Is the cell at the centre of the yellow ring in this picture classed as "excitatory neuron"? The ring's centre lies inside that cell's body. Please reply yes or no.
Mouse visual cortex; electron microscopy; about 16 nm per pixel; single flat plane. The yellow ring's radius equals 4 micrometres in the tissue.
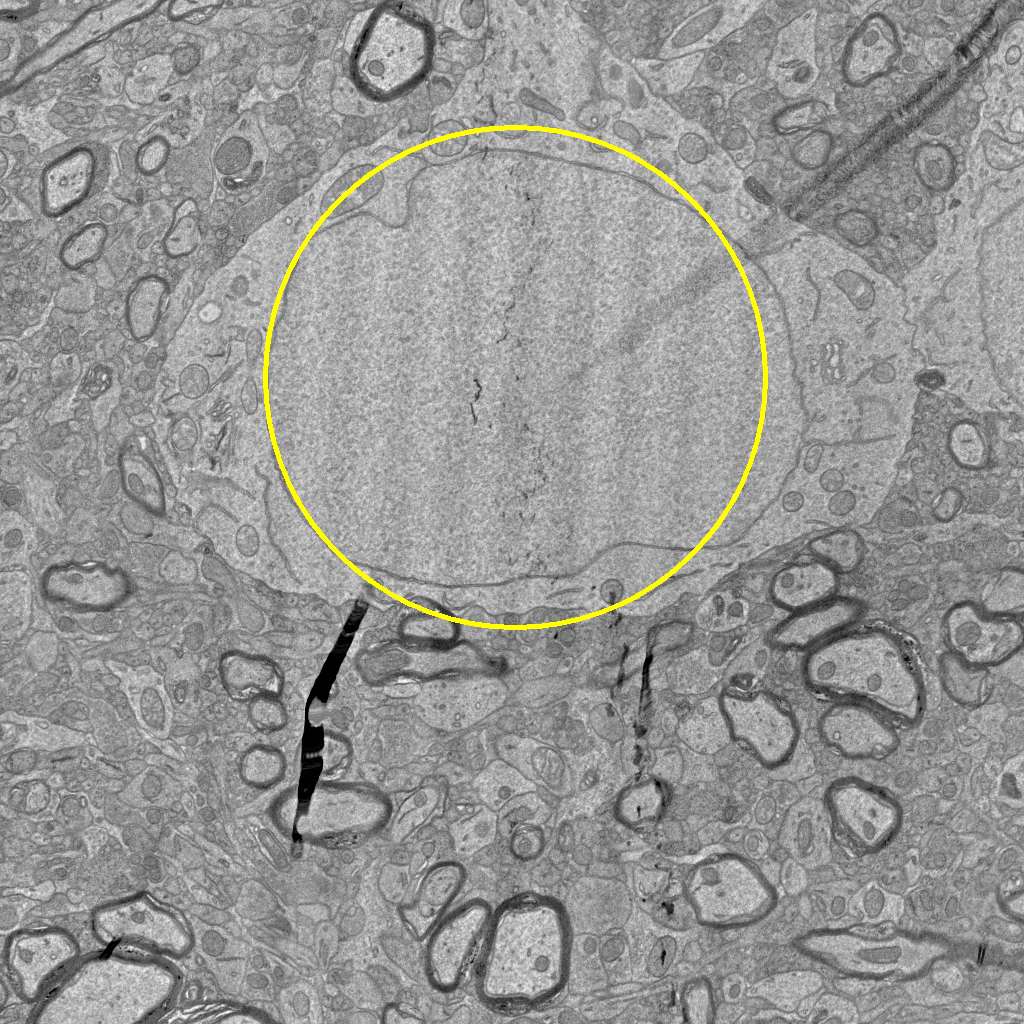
Yes, it is of that kind.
